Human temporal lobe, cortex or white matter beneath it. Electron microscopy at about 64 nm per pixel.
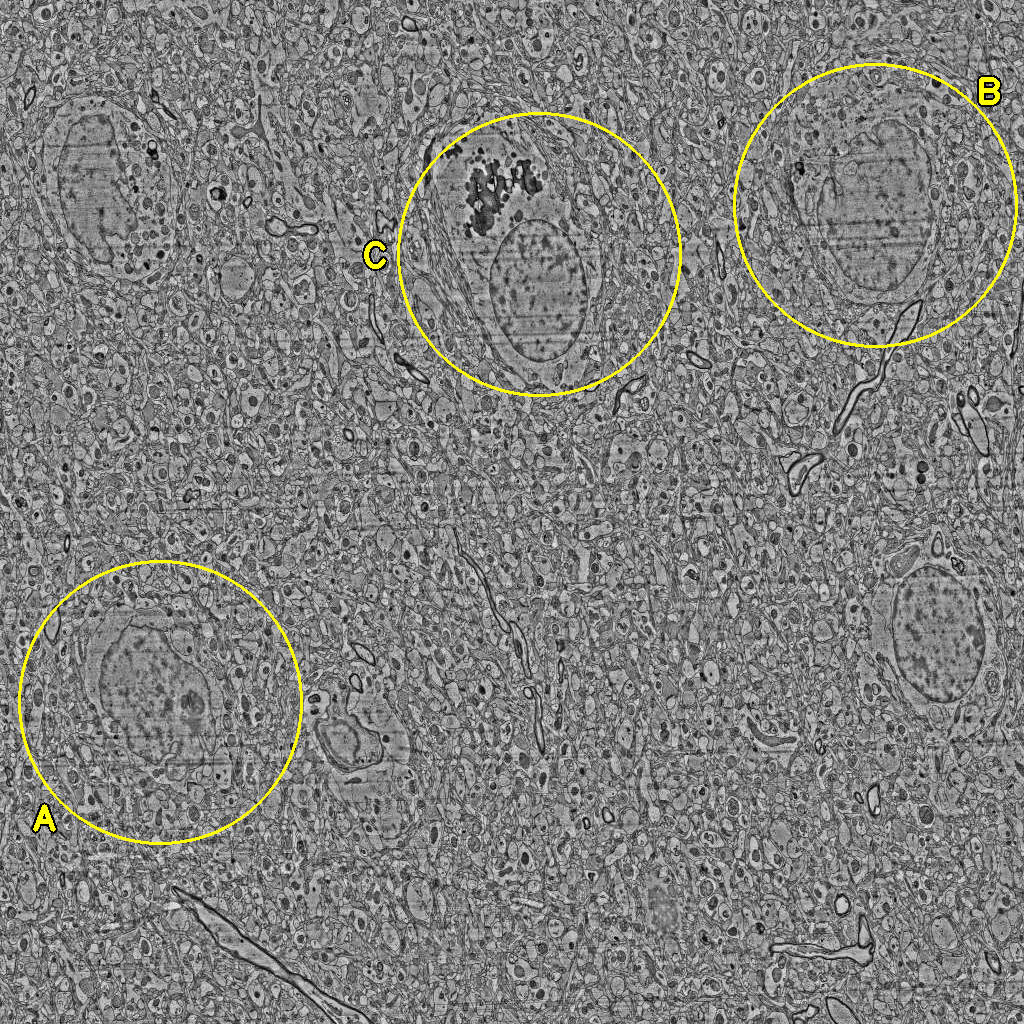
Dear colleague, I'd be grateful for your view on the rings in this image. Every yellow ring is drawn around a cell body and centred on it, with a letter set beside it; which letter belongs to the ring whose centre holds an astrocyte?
C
